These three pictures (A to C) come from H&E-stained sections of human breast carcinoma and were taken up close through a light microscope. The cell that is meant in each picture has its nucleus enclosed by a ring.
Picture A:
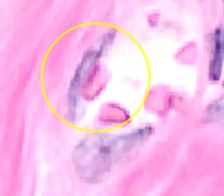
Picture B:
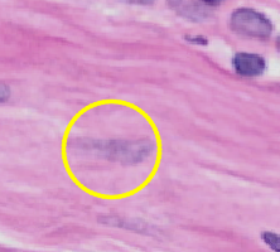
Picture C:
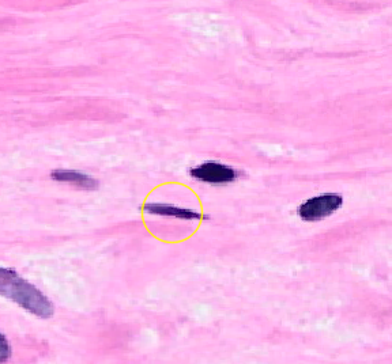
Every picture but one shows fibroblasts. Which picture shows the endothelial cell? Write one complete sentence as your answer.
Picture A is the one that shows the endothelial cell.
